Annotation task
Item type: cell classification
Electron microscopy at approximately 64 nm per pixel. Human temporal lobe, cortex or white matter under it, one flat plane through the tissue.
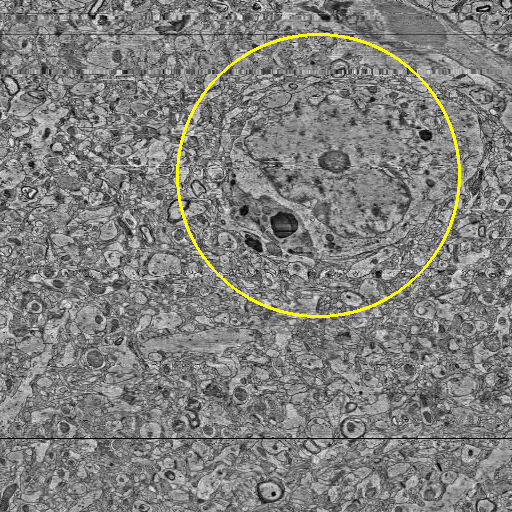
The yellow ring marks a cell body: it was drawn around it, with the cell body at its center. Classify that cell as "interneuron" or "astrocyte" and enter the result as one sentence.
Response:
The ring's center falls on an interneuron.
